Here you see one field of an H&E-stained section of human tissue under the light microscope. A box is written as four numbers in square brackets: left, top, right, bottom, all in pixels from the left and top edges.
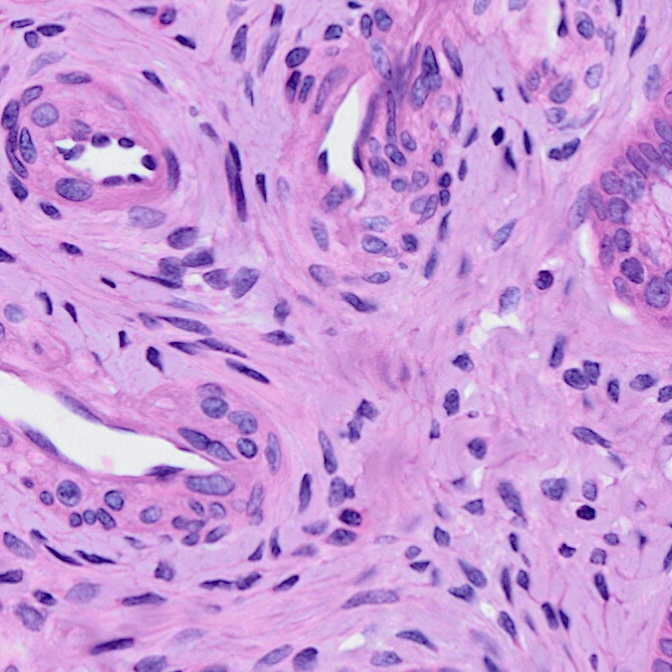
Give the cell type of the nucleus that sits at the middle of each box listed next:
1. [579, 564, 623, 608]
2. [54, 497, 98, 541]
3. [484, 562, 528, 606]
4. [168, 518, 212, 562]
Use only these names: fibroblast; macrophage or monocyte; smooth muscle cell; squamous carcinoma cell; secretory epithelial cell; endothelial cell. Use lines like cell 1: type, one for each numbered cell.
cell 1: fibroblast
cell 2: smooth muscle cell
cell 3: fibroblast
cell 4: smooth muscle cell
